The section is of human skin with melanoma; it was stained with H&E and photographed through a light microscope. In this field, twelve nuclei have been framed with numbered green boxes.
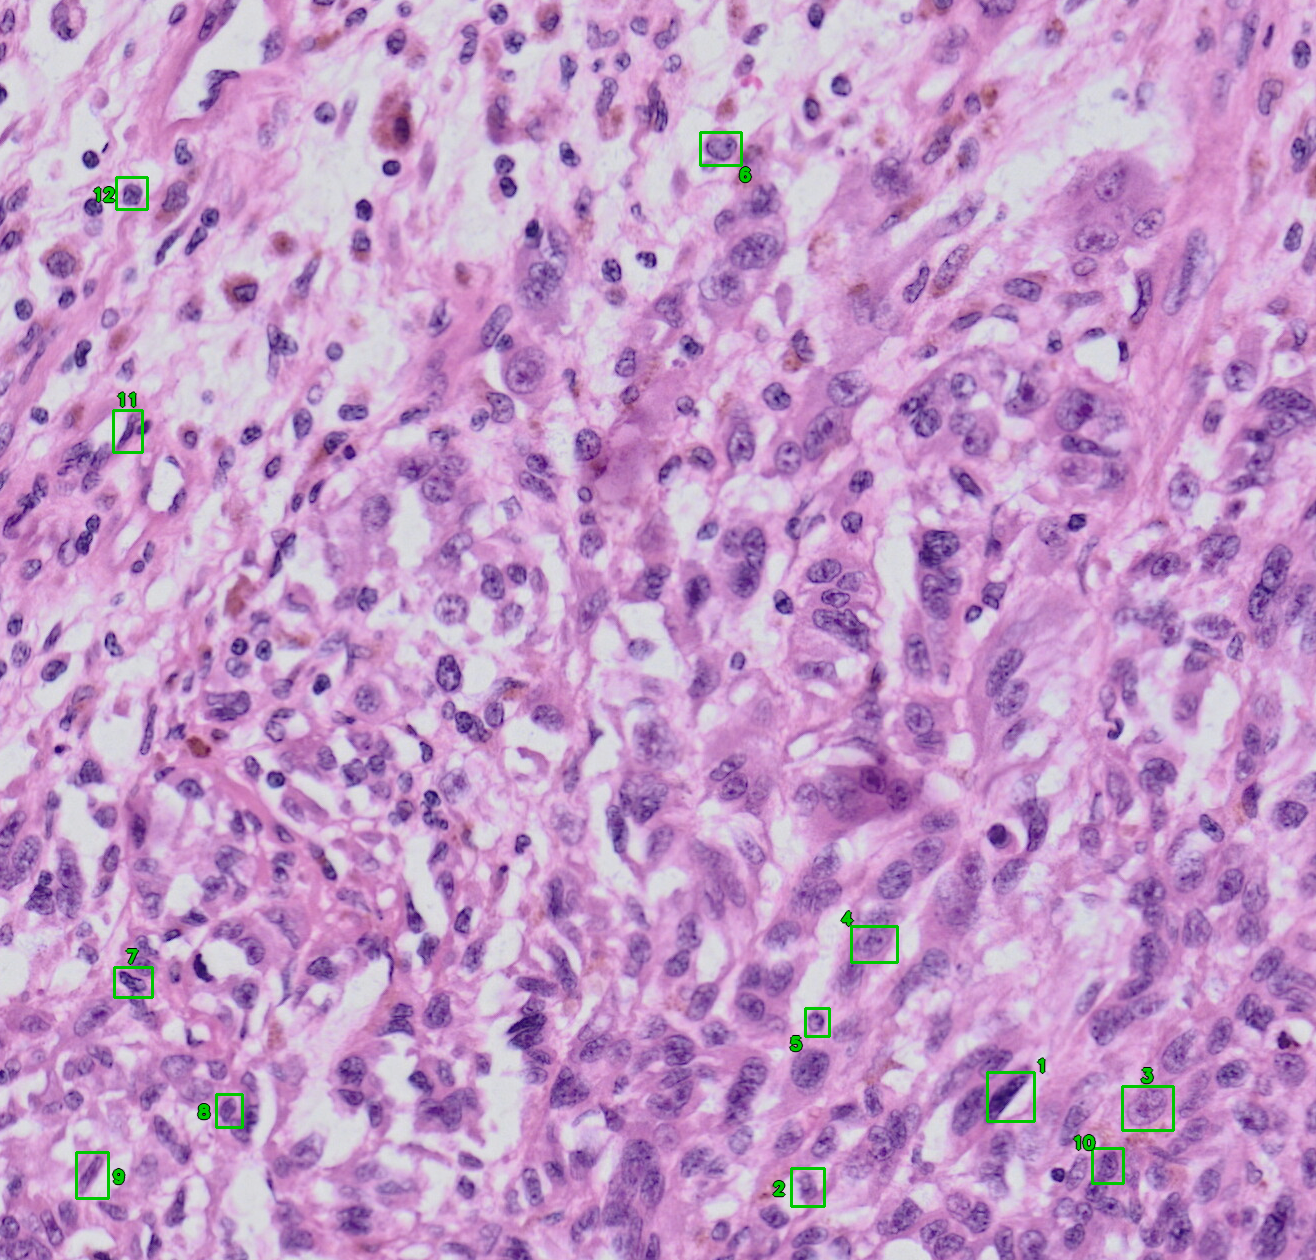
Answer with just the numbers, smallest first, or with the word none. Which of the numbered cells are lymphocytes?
5, 7, 12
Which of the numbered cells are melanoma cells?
1, 2, 3, 4, 8, 9, 10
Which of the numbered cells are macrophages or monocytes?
6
